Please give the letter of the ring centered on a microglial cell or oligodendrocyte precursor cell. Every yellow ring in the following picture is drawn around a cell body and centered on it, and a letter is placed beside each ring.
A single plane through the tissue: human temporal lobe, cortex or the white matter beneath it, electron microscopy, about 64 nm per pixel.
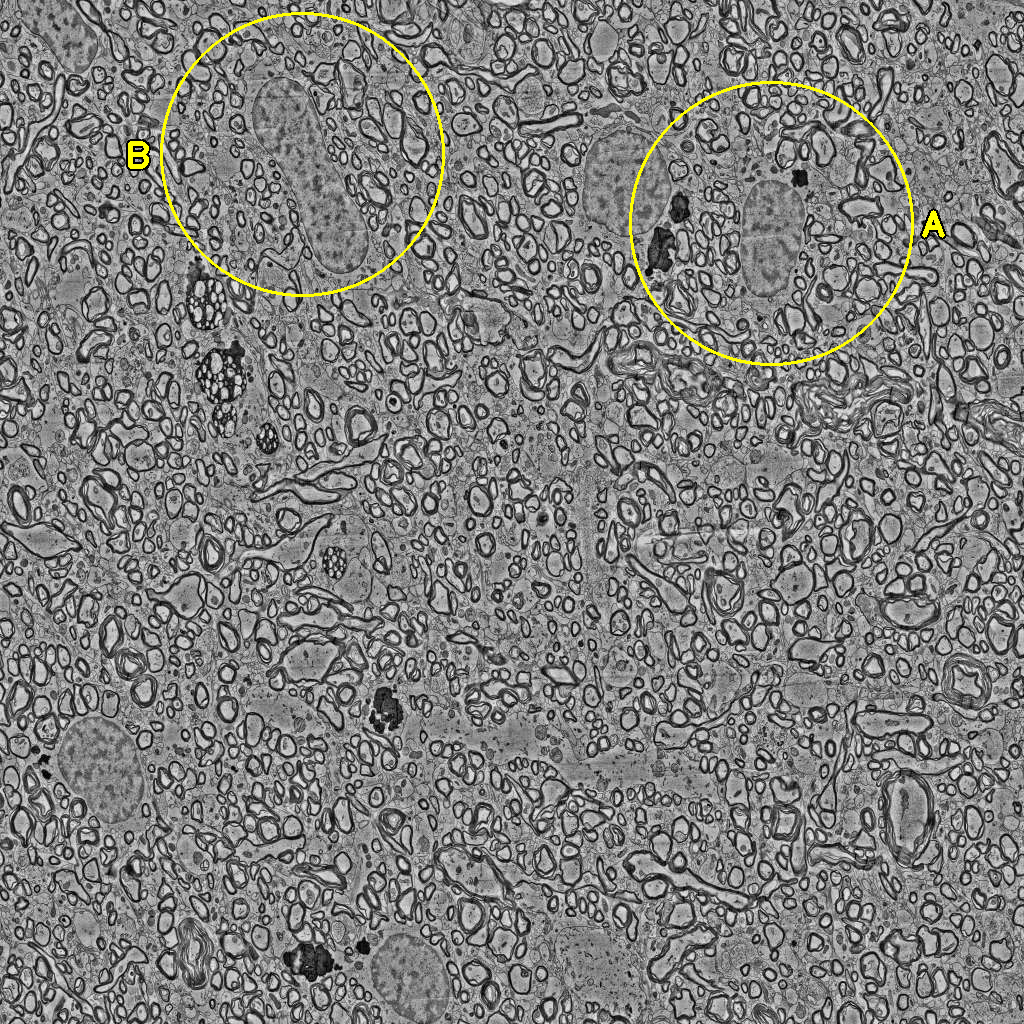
B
